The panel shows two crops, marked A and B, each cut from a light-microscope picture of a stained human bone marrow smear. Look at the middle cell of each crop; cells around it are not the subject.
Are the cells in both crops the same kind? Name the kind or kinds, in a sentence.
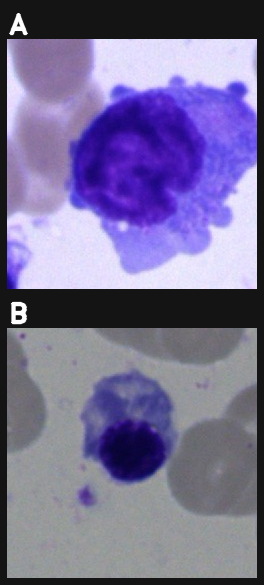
No, it is crop A that shows a blast, and crop B that shows a normoblast.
